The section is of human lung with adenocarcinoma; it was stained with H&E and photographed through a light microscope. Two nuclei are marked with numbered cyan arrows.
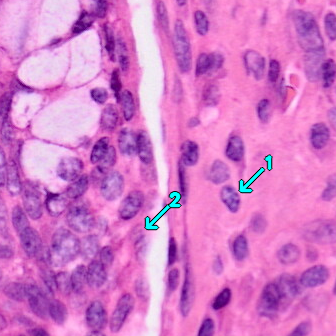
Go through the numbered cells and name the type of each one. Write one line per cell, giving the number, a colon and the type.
1: mast cell
2: ciliated epithelial cell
